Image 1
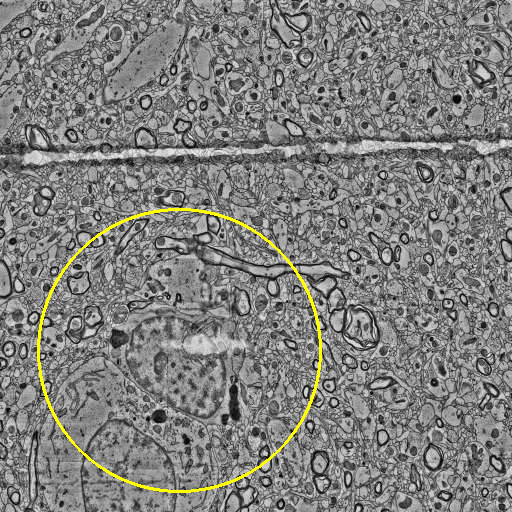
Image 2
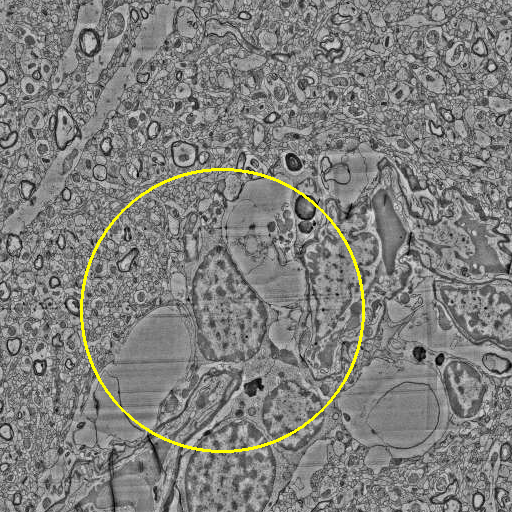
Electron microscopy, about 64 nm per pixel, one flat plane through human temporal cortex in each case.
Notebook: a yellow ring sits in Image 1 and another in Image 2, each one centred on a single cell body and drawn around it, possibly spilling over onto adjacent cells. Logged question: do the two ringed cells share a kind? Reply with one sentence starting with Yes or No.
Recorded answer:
Yes, both centre cells inside the rings of Image 1 and Image 2 share one kind.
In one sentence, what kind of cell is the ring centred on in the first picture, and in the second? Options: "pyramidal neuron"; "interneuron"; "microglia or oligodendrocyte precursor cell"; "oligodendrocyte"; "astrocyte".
Each of the two rings surrounds an oligodendrocyte.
